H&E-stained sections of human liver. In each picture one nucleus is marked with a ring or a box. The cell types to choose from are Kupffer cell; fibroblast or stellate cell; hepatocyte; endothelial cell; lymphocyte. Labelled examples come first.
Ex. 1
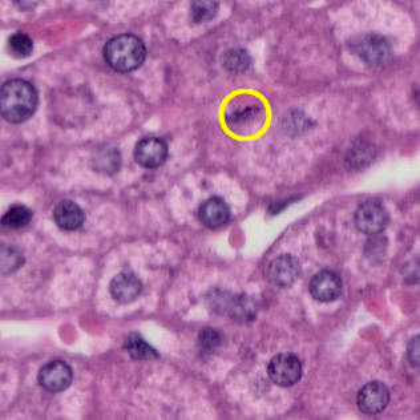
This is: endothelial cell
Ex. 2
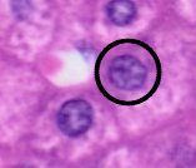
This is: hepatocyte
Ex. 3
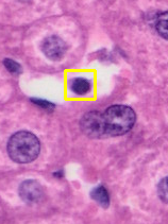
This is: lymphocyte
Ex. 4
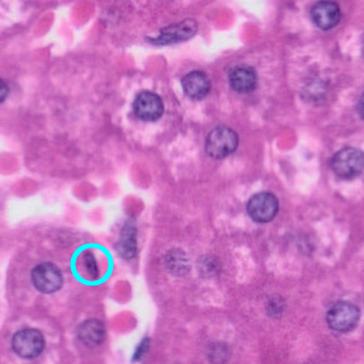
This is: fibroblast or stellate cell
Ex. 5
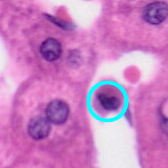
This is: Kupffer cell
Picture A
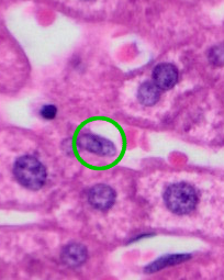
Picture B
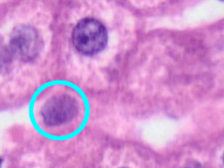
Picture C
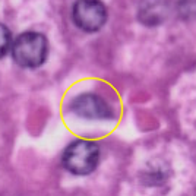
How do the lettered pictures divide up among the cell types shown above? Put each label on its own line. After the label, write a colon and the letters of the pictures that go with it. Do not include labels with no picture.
Kupffer cell: A, C
endothelial cell: B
